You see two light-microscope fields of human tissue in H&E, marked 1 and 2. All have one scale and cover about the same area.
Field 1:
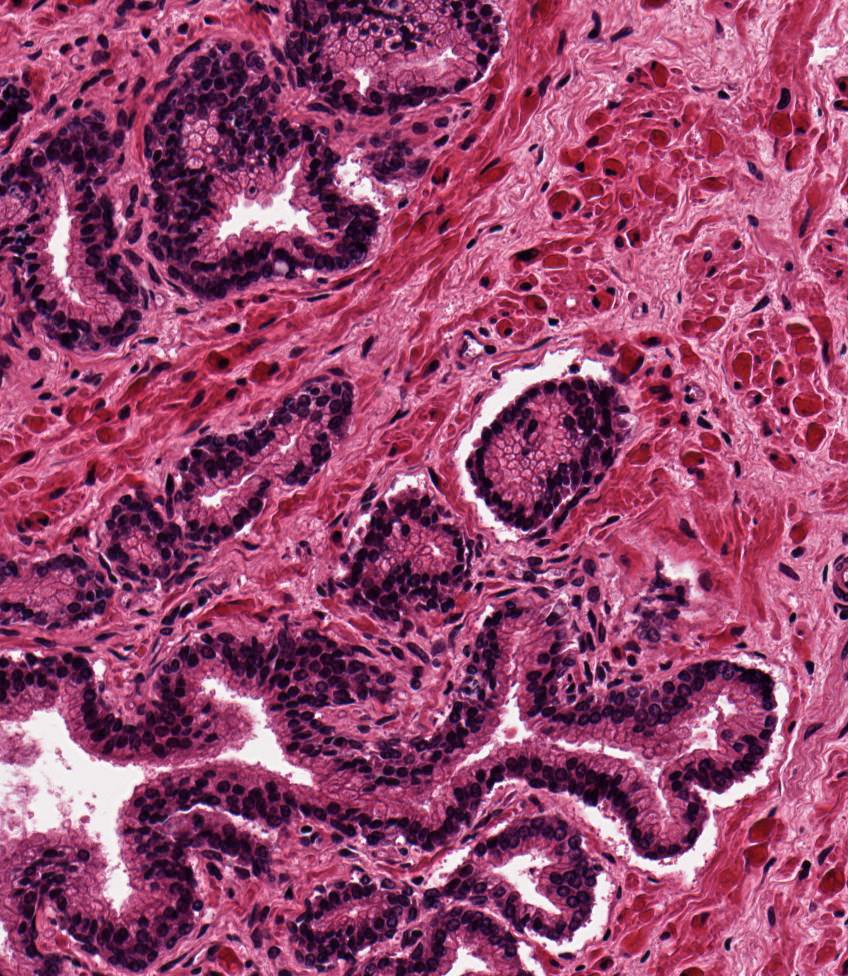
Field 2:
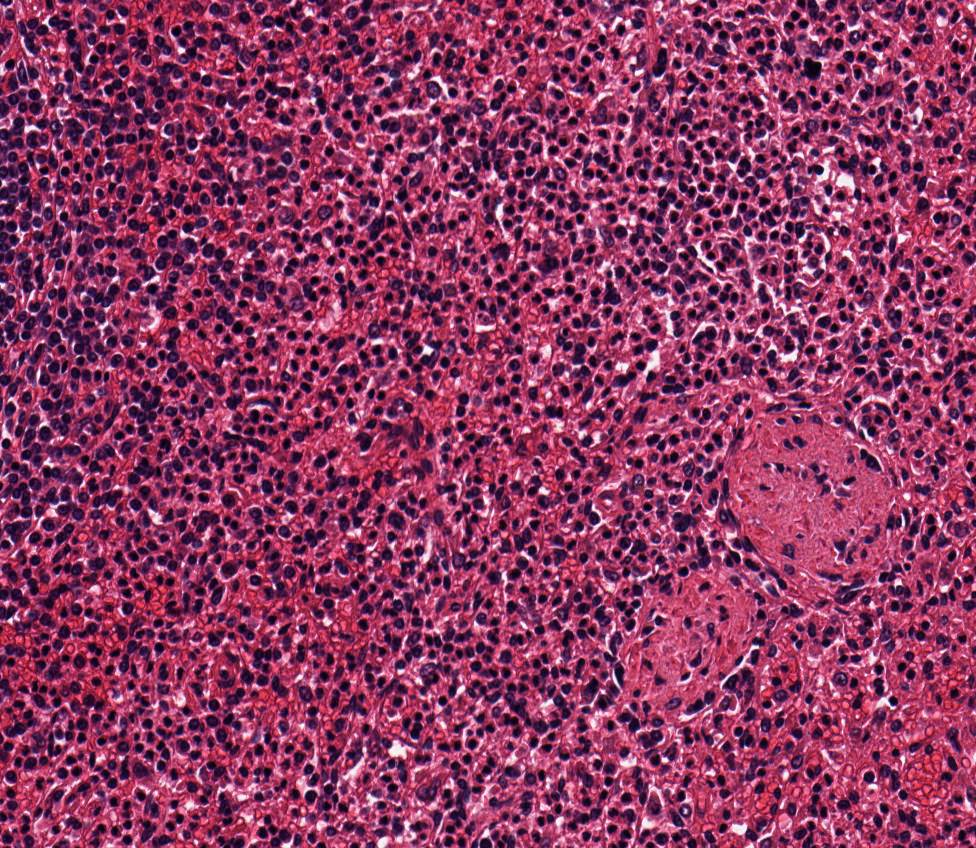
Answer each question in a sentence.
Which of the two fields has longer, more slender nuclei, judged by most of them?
The nuclei are more elongated in field 1.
